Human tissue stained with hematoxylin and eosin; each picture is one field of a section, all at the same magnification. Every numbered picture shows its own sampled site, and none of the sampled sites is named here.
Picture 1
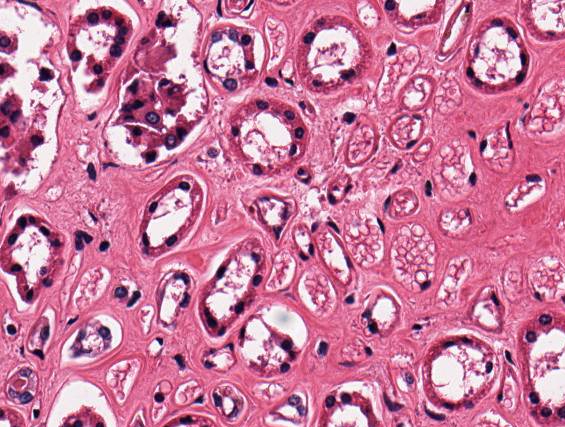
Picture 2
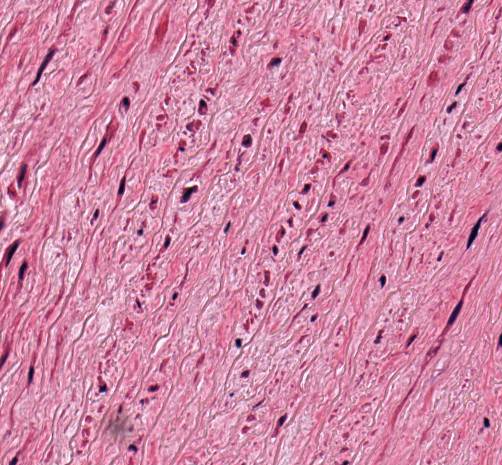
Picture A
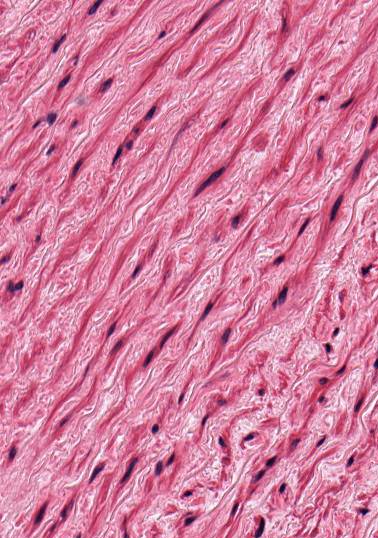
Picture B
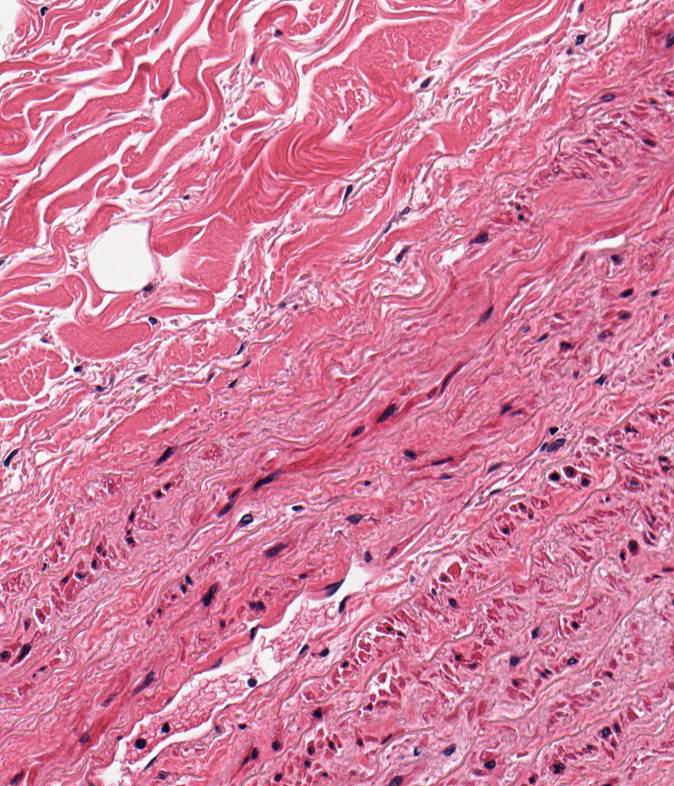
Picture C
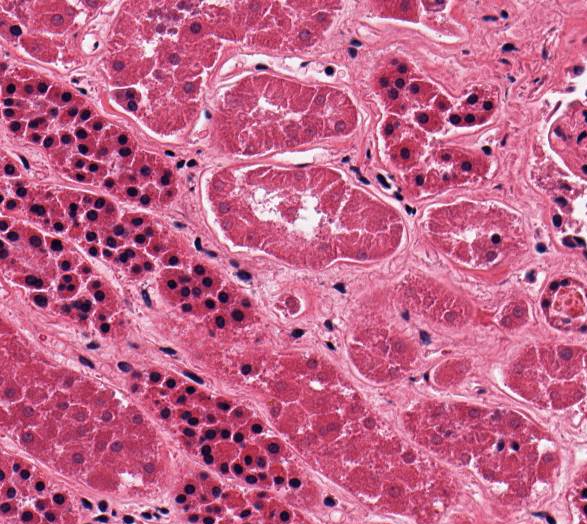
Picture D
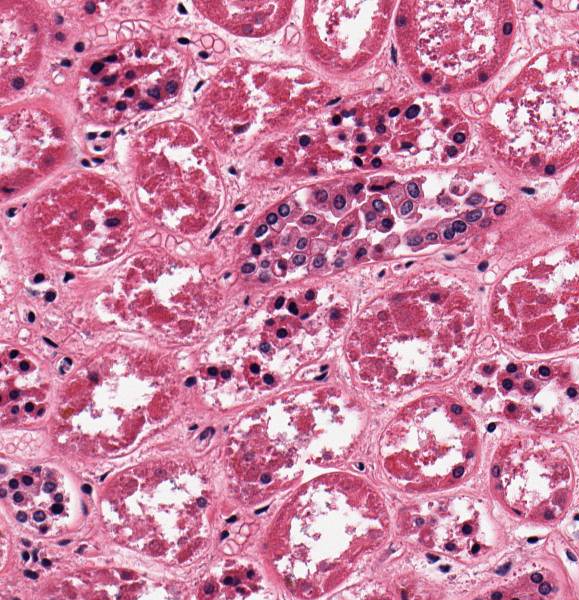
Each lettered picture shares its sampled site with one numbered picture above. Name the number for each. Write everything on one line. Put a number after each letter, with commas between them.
A 2, B 2, C 1, D 1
